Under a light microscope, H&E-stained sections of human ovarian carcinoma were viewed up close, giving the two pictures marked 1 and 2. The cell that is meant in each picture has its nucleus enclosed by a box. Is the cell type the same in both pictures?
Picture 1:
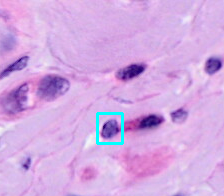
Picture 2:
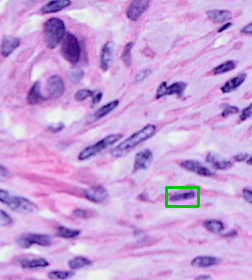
no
